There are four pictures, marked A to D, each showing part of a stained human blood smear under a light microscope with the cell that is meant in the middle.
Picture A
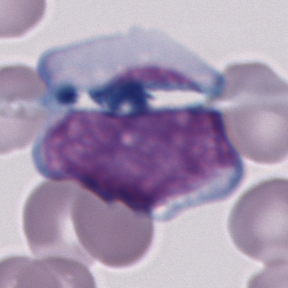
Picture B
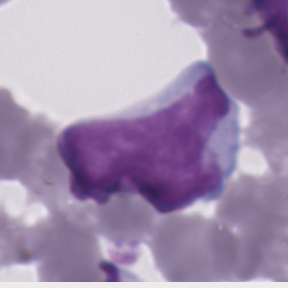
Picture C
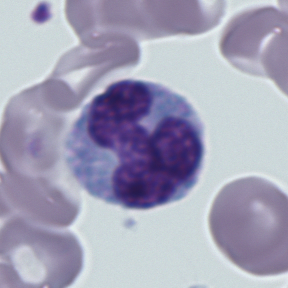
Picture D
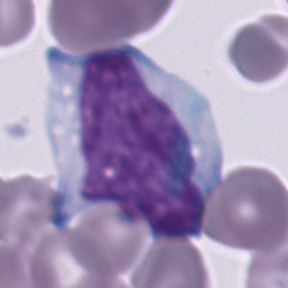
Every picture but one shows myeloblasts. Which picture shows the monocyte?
C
